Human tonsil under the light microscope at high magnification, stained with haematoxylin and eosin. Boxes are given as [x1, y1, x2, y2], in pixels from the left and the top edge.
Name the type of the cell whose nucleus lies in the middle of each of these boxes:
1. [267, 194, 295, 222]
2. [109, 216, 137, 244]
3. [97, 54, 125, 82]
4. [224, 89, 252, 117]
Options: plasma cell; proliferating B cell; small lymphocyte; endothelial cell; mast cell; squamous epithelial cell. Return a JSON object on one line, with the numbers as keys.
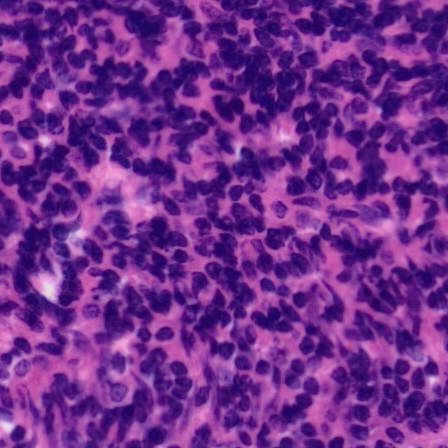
{"1": "endothelial cell", "2": "small lymphocyte", "3": "small lymphocyte", "4": "small lymphocyte"}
